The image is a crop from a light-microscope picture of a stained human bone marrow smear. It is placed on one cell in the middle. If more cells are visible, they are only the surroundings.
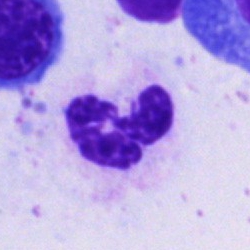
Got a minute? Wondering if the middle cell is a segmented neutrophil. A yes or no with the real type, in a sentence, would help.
Yes, the cell centred in the field of view is a segmented neutrophil.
